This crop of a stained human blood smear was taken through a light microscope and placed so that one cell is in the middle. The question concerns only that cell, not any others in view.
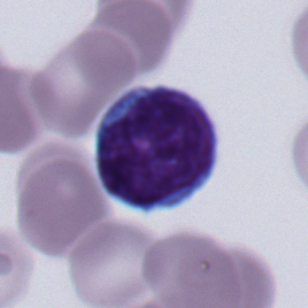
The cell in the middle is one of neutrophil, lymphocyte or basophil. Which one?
lymphocyte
